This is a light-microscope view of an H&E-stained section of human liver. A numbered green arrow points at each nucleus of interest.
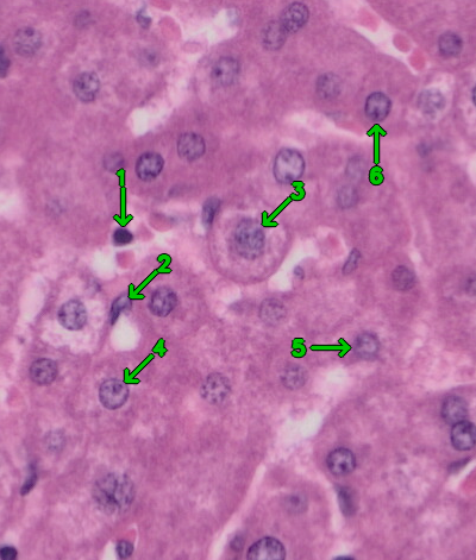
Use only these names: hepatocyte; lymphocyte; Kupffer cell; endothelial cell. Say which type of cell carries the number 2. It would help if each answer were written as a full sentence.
The mark numbered 2 indicates the nucleus of an endothelial cell.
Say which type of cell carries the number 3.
The cell identified by the number 3 is a hepatocyte.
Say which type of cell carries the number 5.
Cell 5 of the marked set is a hepatocyte.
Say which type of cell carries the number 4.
The cell referred to as 4 is a hepatocyte.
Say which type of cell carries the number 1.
As for number 1, that cell is a lymphocyte.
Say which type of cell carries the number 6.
The numeral 6 marks a hepatocyte in this section.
